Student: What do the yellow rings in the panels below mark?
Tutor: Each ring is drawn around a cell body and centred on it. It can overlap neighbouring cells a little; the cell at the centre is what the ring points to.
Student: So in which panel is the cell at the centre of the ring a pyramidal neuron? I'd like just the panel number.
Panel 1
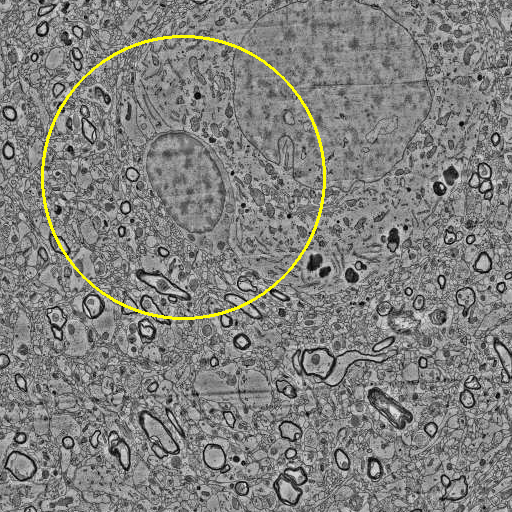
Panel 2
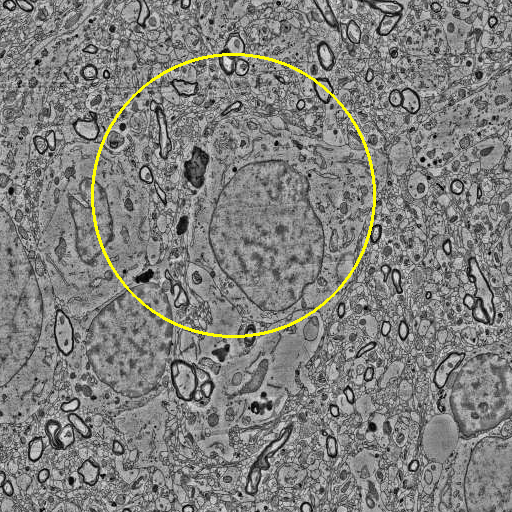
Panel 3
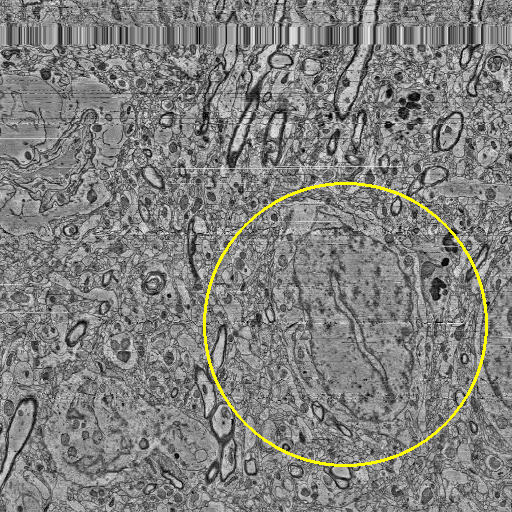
2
